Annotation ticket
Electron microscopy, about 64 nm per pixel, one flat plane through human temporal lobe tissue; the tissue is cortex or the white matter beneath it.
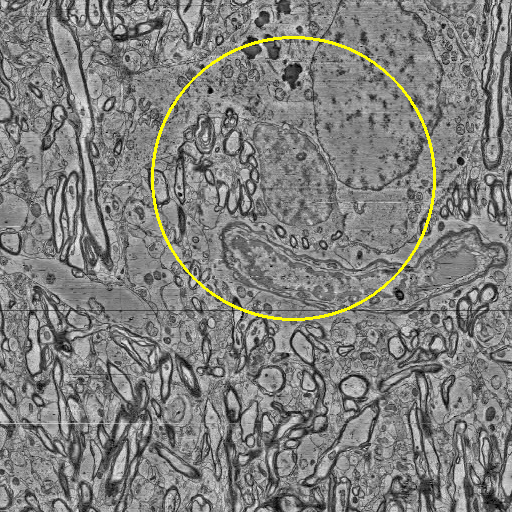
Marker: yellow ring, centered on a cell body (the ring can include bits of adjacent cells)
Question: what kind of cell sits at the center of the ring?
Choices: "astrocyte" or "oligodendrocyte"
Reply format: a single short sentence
The ring is centered on an oligodendrocyte.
